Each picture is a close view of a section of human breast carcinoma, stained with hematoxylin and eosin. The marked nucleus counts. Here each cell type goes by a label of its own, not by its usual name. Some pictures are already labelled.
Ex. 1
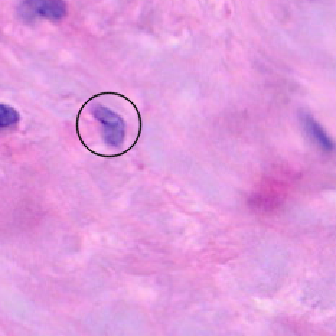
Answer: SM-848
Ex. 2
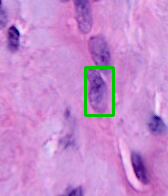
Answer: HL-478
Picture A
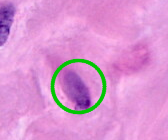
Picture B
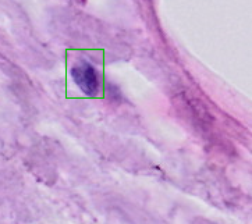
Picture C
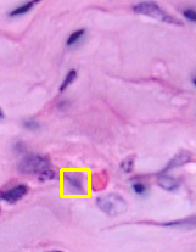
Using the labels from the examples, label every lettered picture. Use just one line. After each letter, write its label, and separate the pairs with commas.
A SM-848, B SM-848, C HL-478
